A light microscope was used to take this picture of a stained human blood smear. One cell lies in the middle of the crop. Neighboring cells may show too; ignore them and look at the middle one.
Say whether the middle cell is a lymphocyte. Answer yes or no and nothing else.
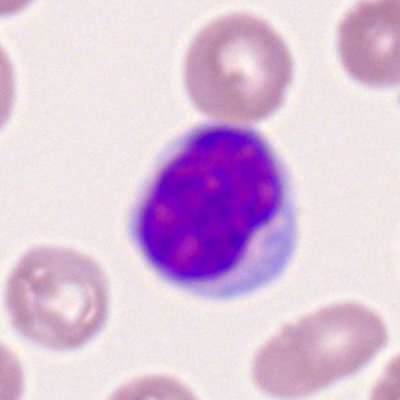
yes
